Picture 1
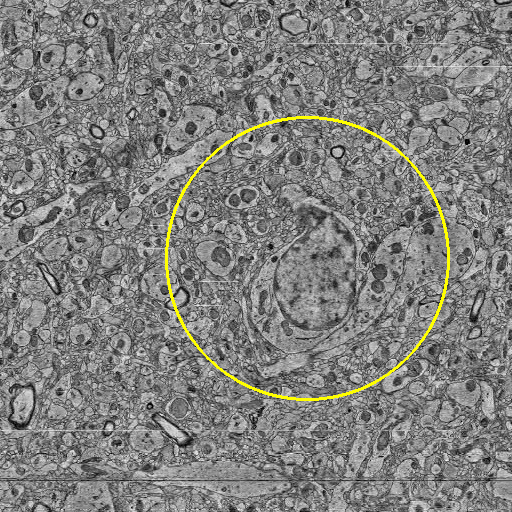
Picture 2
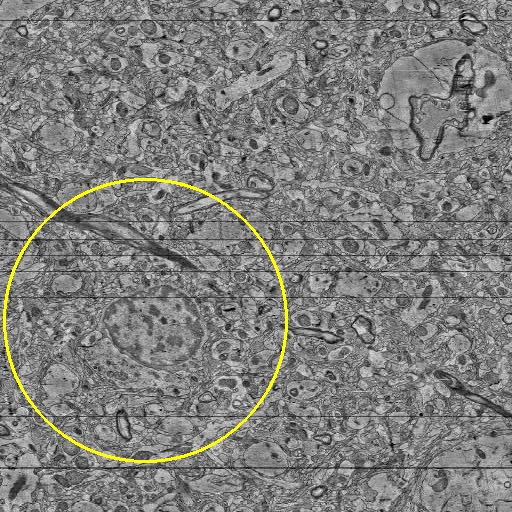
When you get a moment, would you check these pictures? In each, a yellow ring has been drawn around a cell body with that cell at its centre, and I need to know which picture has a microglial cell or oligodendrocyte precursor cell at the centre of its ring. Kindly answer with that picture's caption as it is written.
Picture 1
